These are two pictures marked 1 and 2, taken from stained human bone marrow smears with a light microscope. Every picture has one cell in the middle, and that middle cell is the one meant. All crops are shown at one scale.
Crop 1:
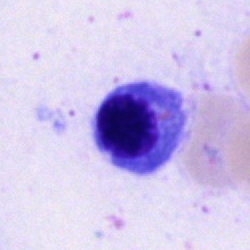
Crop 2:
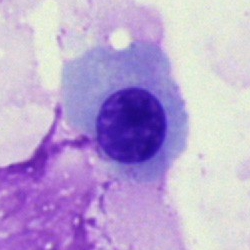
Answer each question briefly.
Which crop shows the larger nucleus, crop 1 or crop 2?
2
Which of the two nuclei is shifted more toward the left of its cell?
1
